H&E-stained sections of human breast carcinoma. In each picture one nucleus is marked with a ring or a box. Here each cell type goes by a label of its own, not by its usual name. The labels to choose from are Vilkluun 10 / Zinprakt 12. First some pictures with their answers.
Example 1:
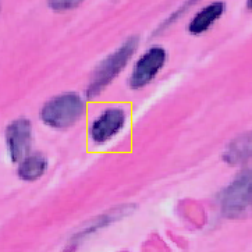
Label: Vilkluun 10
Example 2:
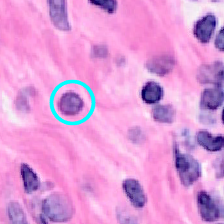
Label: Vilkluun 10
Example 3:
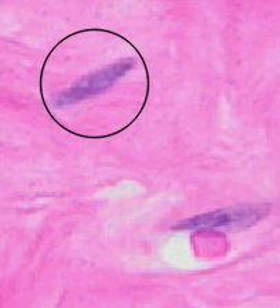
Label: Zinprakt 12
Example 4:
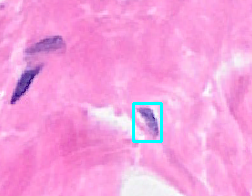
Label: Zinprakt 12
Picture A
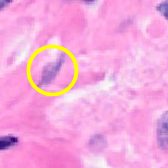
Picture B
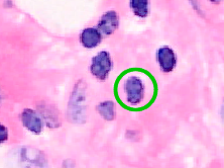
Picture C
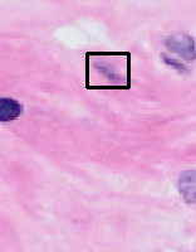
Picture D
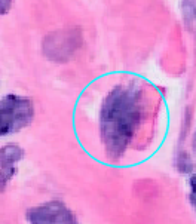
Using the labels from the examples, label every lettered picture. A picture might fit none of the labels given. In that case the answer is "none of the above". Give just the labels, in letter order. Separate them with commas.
Zinprakt 12, Vilkluun 10, Zinprakt 12, none of the above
